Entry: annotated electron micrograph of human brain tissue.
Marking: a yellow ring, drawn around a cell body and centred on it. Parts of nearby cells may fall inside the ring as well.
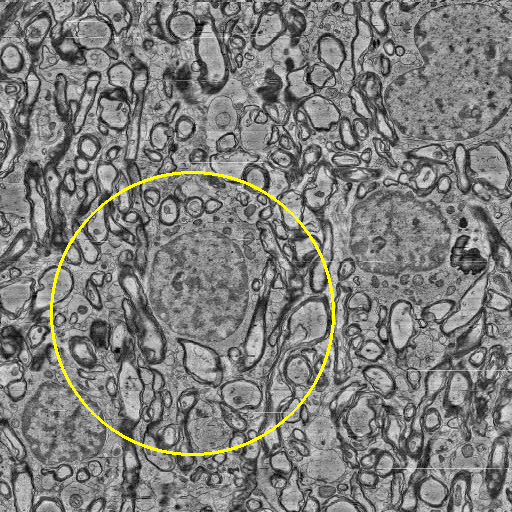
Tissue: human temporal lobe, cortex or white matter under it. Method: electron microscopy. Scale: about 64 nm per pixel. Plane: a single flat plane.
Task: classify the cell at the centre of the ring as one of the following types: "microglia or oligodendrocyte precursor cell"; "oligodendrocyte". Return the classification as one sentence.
The marked cell is classified as an oligodendrocyte.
